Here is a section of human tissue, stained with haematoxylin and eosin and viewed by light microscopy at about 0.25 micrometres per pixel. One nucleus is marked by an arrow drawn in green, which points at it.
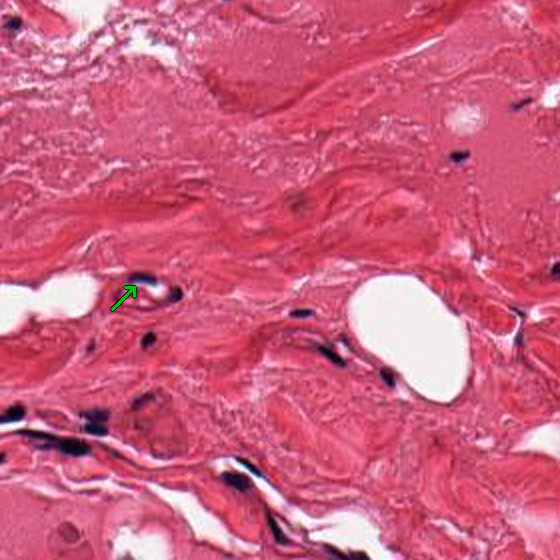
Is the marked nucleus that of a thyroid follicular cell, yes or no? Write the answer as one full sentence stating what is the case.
No, the marked nucleus is located in a supporting cell and not in a thyroid follicular cell.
